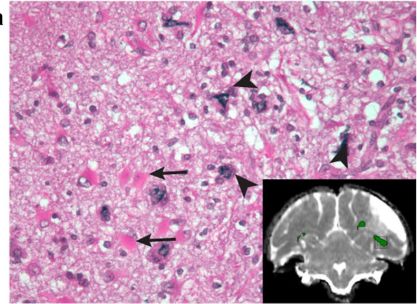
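This is injured brain tissue with reactive astrocytes and mineralized neurons. Several large cells have plentiful, glassy, bright pink cytoplasm with the nucleus set off to one side, the look of gemistocytic astrocytes. Scattered among them are a few cells that are dark blue-purple and granular, clumped and irregular, where neurons have become mineralized. The background neuropil is pale pink and finely vacuolated, giving a loose, spongy texture, and many small round dark nuclei of other glial cells are dotted throughout.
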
